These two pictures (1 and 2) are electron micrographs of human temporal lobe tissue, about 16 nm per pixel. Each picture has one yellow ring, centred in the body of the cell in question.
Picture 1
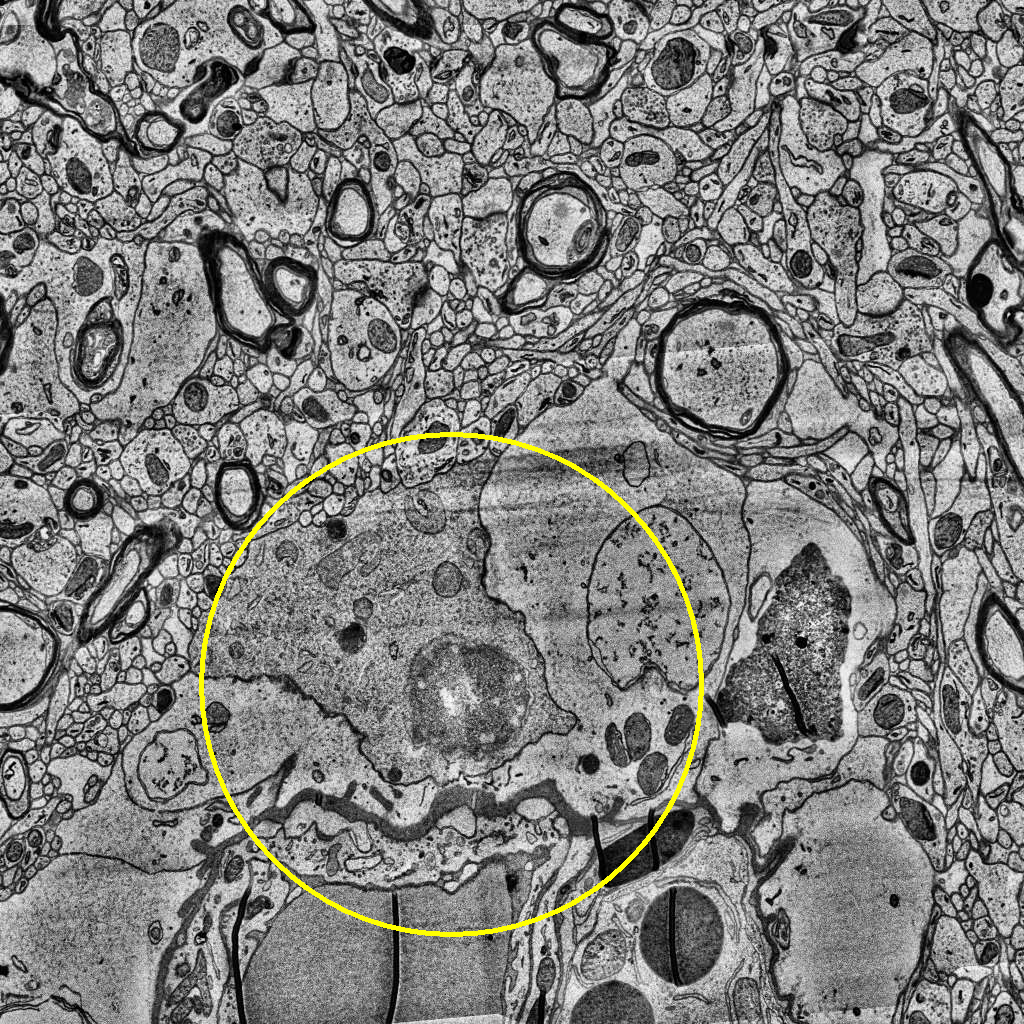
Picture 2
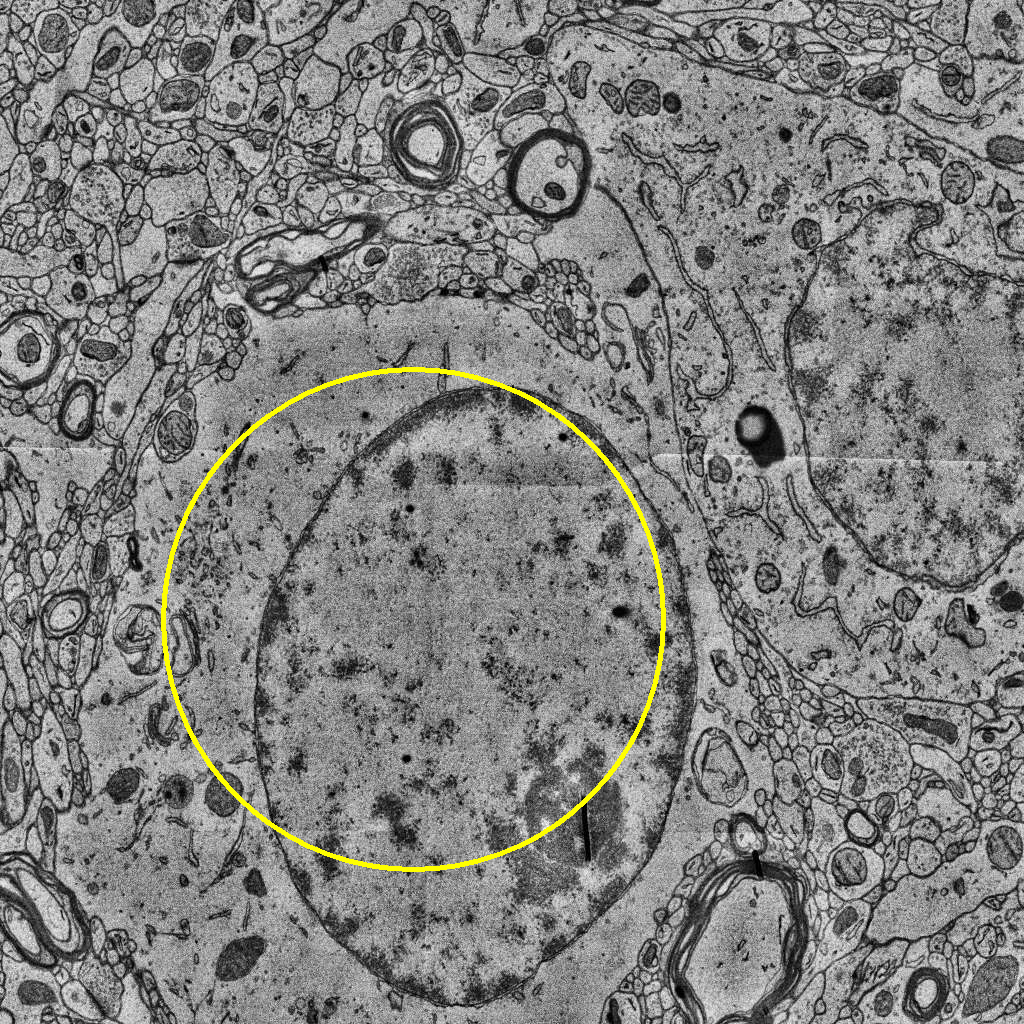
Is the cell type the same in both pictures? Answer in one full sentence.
No, the types are not the same, since picture 1 shows an oligodendrocyte and picture 2 an astrocyte.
